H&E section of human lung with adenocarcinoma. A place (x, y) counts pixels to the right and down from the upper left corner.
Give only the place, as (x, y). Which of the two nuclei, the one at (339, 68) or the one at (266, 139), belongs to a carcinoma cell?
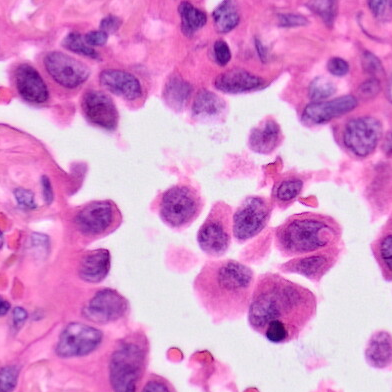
(266, 139)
